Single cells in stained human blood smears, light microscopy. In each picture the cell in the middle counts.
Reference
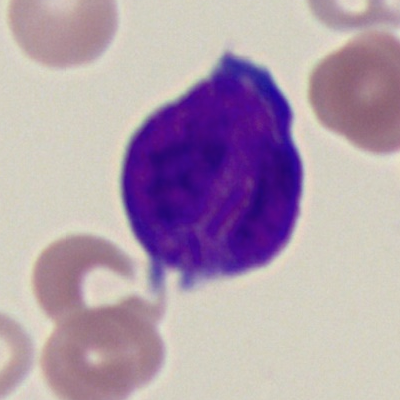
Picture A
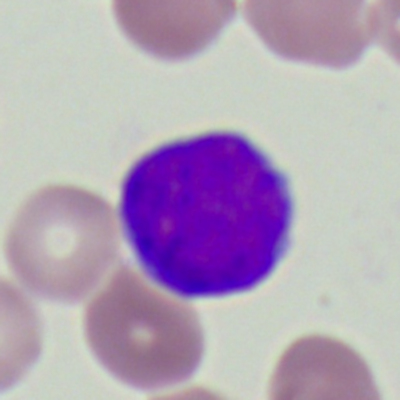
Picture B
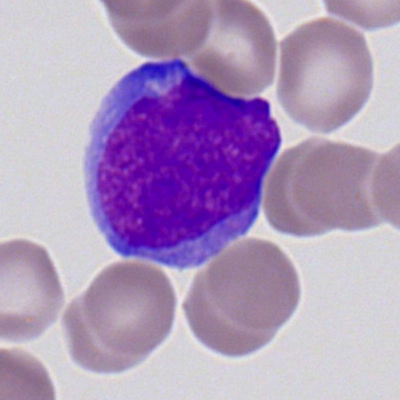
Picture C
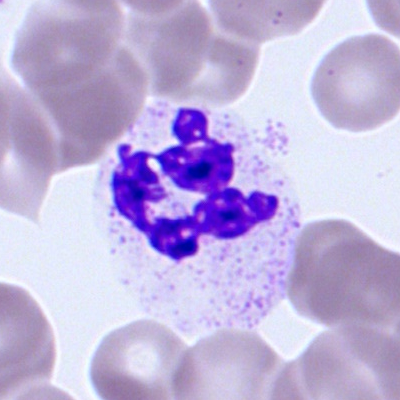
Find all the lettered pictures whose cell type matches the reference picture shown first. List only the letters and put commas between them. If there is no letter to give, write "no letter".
A, B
